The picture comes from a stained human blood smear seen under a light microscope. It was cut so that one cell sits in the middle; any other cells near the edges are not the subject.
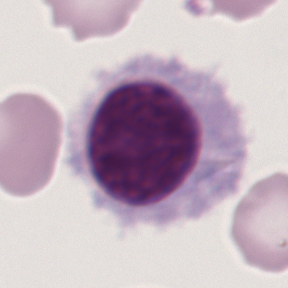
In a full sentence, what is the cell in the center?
The crop centres on a single cell, and that cell is a hairy cell.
